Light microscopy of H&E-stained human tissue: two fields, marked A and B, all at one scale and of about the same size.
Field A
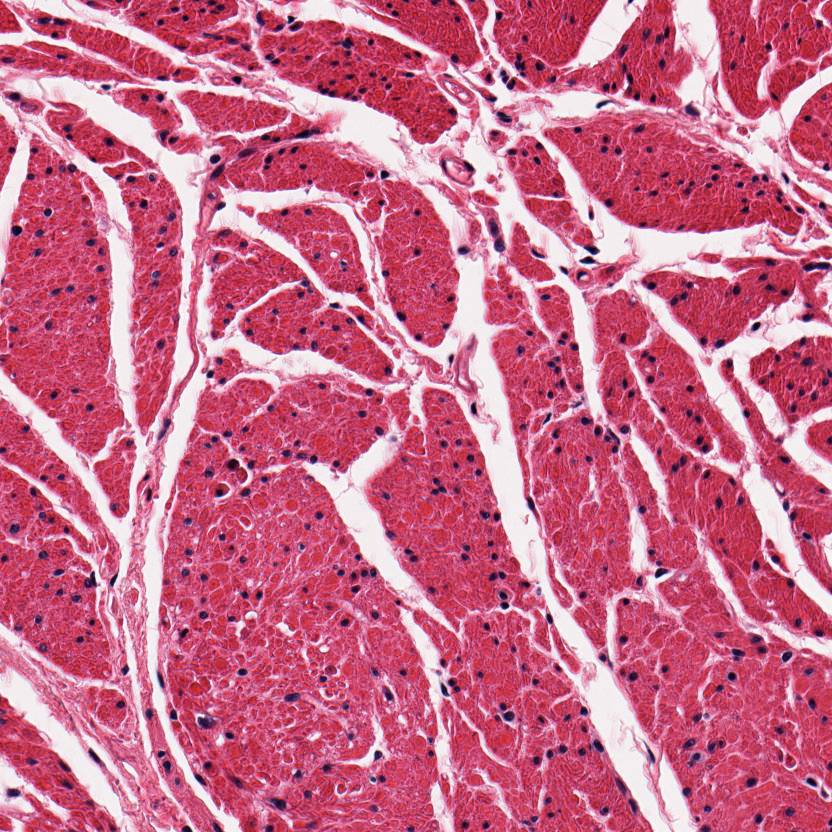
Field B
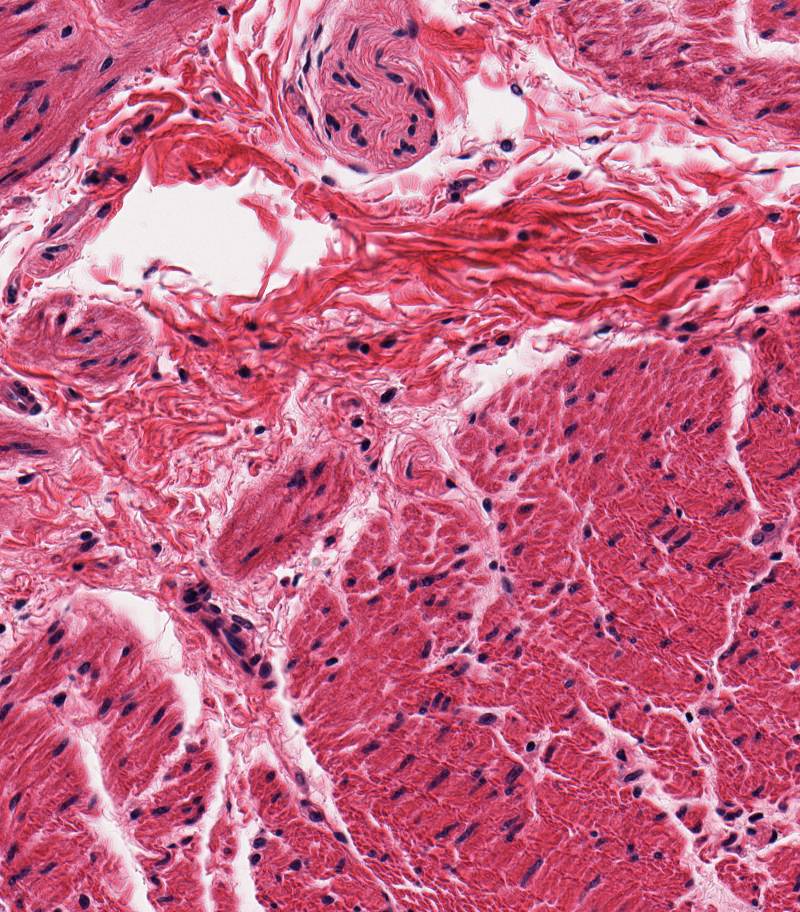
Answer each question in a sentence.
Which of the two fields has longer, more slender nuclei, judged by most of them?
It is field B whose nuclei are the more elongated.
